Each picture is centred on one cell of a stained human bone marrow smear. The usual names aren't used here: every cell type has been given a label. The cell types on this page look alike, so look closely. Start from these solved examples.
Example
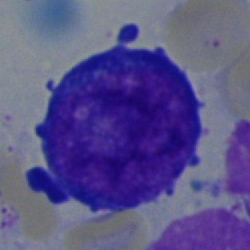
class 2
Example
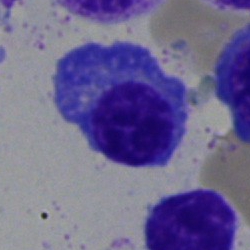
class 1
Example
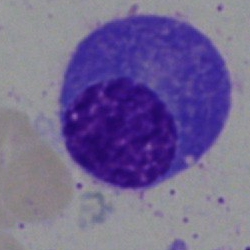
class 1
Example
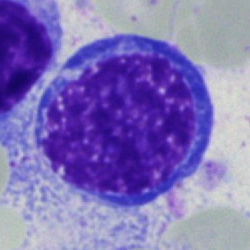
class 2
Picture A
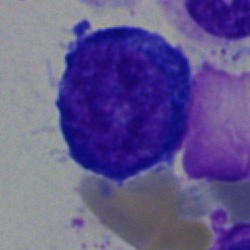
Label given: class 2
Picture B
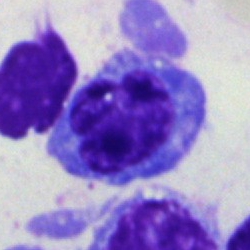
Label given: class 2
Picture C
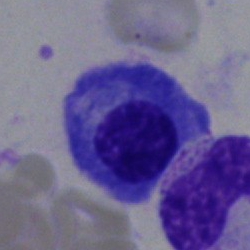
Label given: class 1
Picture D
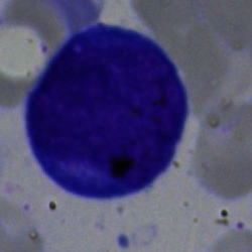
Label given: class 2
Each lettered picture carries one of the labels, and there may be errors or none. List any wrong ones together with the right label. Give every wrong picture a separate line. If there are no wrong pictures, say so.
B is labelled class 2; correct label: class 1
